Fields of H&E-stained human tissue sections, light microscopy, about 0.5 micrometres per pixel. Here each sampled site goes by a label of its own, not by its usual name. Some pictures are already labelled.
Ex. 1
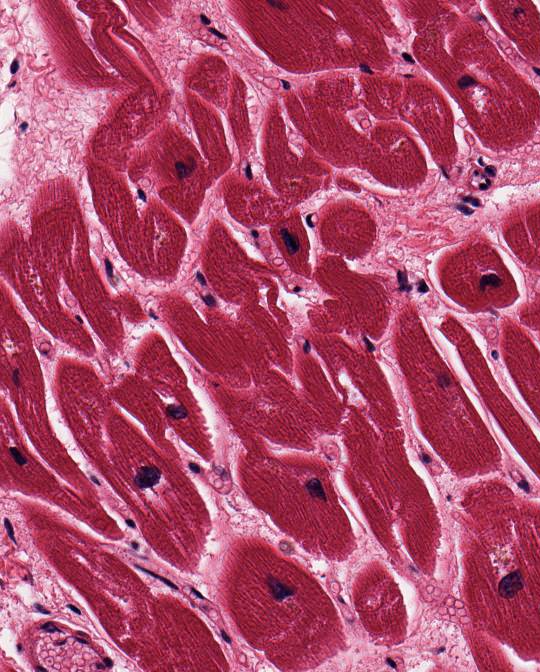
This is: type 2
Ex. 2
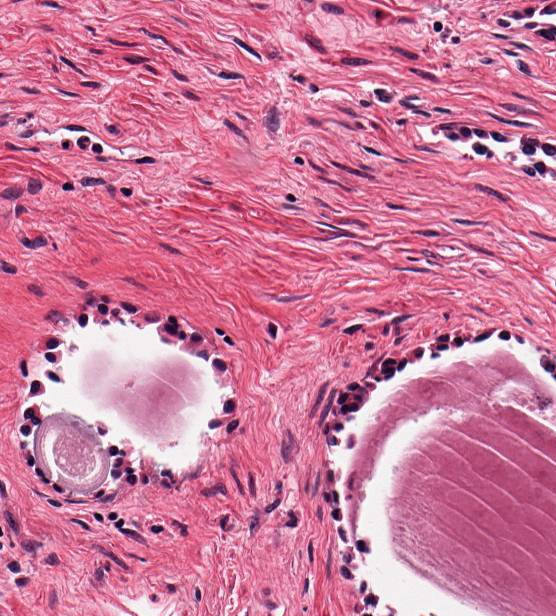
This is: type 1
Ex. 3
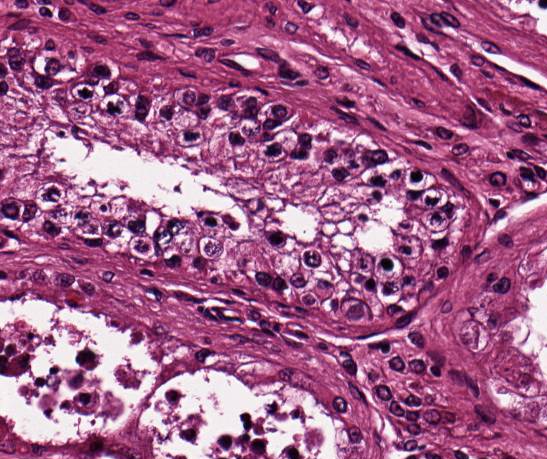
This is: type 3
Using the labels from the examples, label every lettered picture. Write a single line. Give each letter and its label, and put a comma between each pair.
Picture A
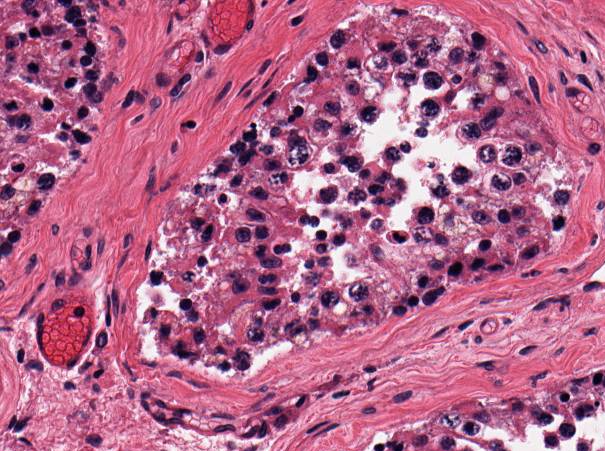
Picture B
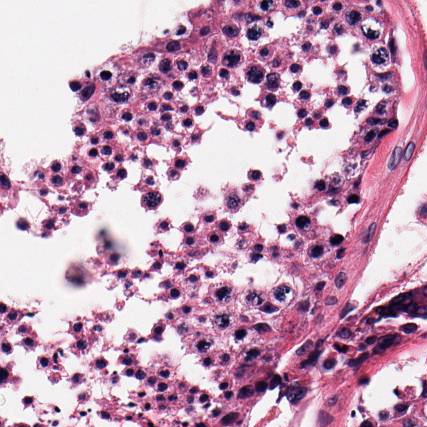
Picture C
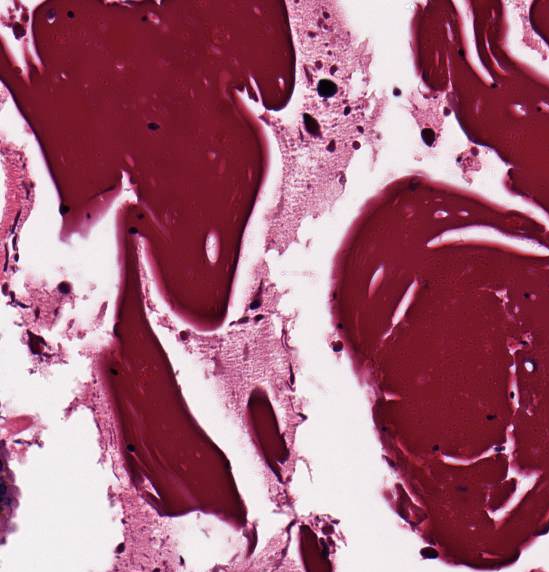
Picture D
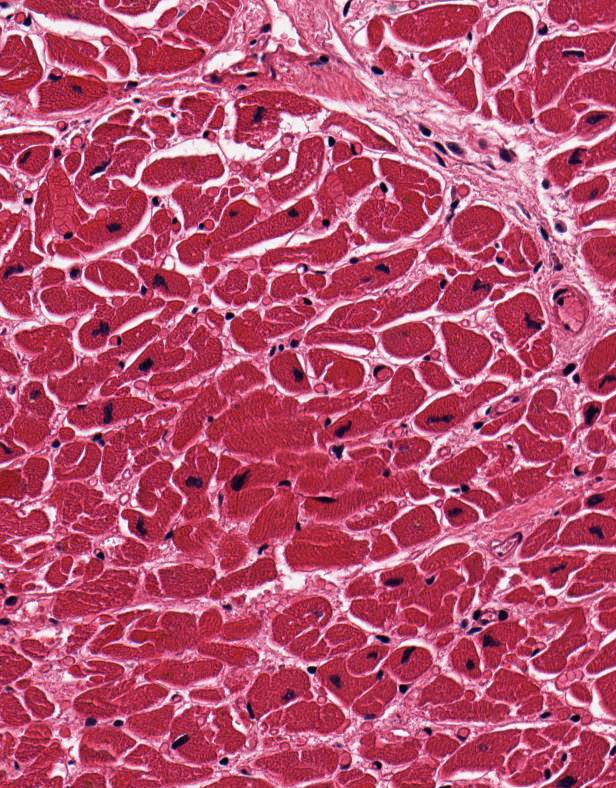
A type 3, B type 3, C type 1, D type 2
